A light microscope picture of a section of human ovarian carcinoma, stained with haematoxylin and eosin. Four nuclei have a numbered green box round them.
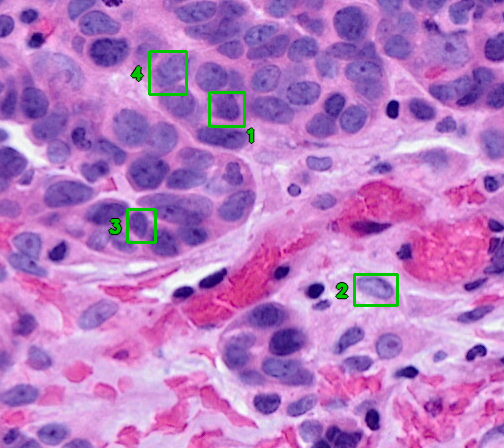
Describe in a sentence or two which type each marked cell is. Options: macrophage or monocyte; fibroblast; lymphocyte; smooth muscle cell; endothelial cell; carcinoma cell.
Cell 1 is a carcinoma cell, cell 2 is a fibroblast, cell 3 is a carcinoma cell and cell 4 is a carcinoma cell.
